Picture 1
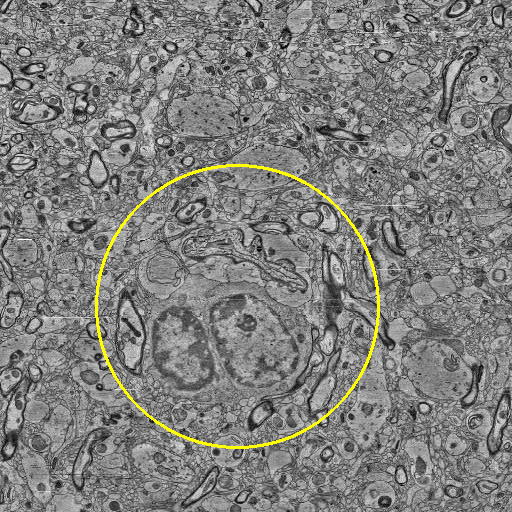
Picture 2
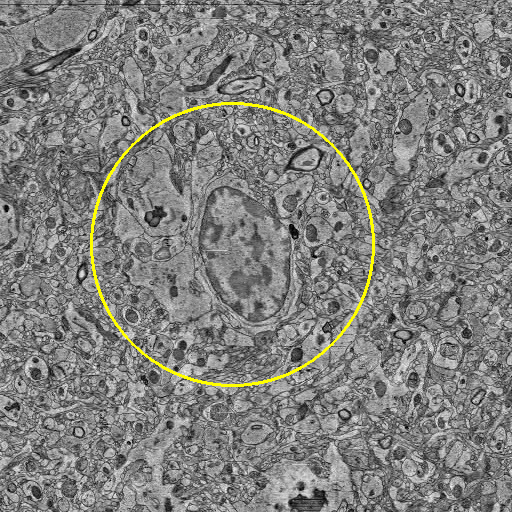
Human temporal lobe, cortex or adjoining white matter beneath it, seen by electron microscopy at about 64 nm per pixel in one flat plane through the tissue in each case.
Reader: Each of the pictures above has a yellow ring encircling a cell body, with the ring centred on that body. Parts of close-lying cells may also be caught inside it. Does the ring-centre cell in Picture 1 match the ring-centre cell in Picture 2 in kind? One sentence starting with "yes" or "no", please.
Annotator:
No, Picture 1 and Picture 2 show ring-centre cells of two kinds.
